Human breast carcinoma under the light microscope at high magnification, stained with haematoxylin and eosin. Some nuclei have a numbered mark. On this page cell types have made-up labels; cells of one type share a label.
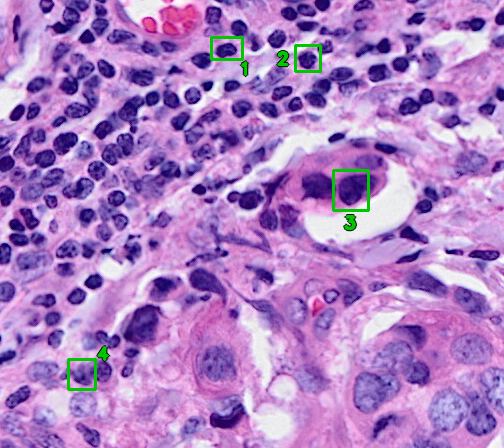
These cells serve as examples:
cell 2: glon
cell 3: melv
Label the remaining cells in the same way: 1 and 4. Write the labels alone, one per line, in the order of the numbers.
glon
glon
